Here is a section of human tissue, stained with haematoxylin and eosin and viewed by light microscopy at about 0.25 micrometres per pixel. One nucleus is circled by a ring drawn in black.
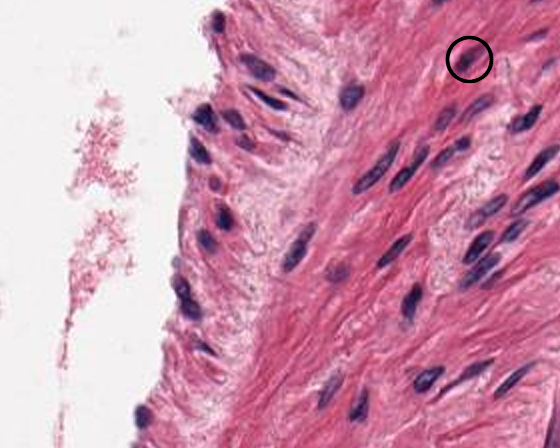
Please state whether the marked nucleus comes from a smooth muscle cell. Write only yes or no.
yes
